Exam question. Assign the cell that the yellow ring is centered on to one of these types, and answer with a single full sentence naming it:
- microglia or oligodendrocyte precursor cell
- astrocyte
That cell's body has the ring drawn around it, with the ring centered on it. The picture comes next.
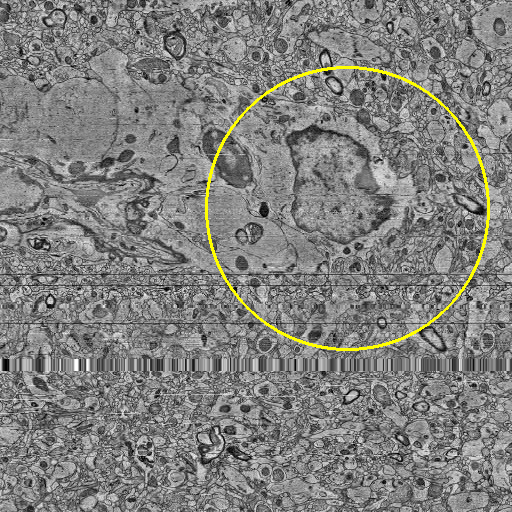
In the micrograph, the cell the yellow ring is centered on is a microglial cell or oligodendrocyte precursor cell.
